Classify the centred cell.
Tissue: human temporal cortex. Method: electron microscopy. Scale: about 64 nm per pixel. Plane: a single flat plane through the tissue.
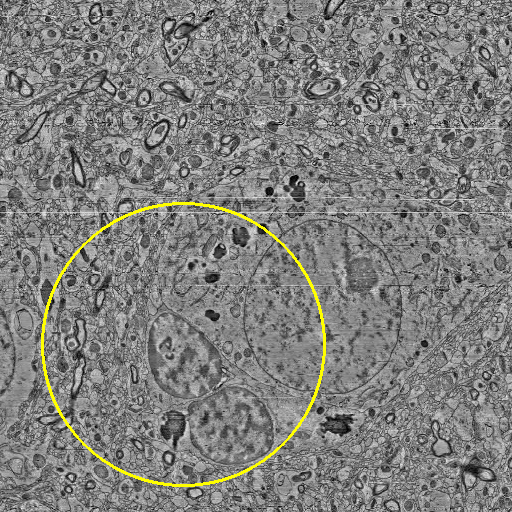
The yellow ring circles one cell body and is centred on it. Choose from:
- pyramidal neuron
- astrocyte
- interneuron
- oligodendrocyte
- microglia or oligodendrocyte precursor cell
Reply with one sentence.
The ring is centred on an oligodendrocyte.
